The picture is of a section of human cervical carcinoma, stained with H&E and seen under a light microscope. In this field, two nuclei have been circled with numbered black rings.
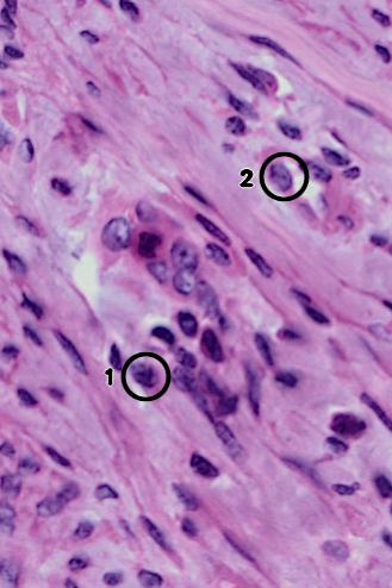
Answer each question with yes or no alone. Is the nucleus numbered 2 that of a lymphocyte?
no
